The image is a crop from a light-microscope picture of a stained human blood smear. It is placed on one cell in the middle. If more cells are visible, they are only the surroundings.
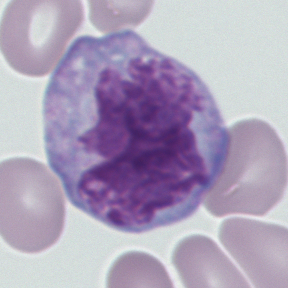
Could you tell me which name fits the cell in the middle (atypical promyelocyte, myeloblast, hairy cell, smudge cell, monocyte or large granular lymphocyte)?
atypical promyelocyte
